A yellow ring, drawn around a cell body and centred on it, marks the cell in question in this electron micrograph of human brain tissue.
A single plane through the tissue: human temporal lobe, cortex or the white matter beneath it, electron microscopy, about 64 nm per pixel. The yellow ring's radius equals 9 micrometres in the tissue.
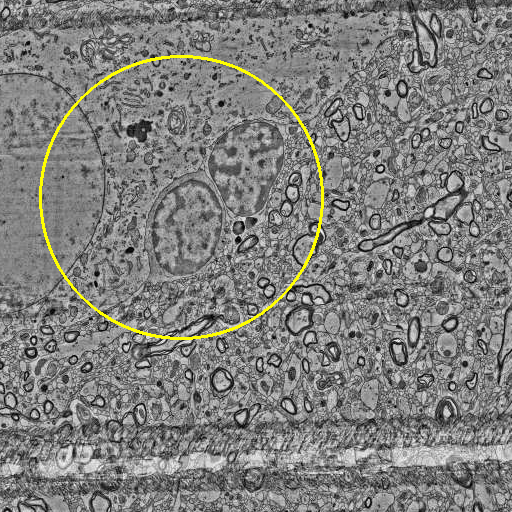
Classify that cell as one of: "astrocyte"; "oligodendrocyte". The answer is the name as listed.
oligodendrocyte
